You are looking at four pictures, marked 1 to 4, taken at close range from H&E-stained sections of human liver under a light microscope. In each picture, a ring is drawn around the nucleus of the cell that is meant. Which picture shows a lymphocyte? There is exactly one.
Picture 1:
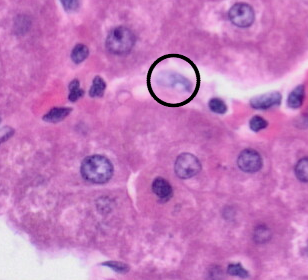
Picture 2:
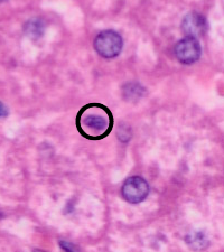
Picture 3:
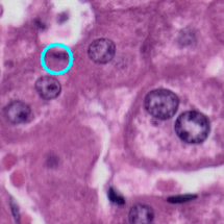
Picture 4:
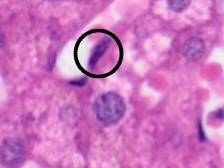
2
